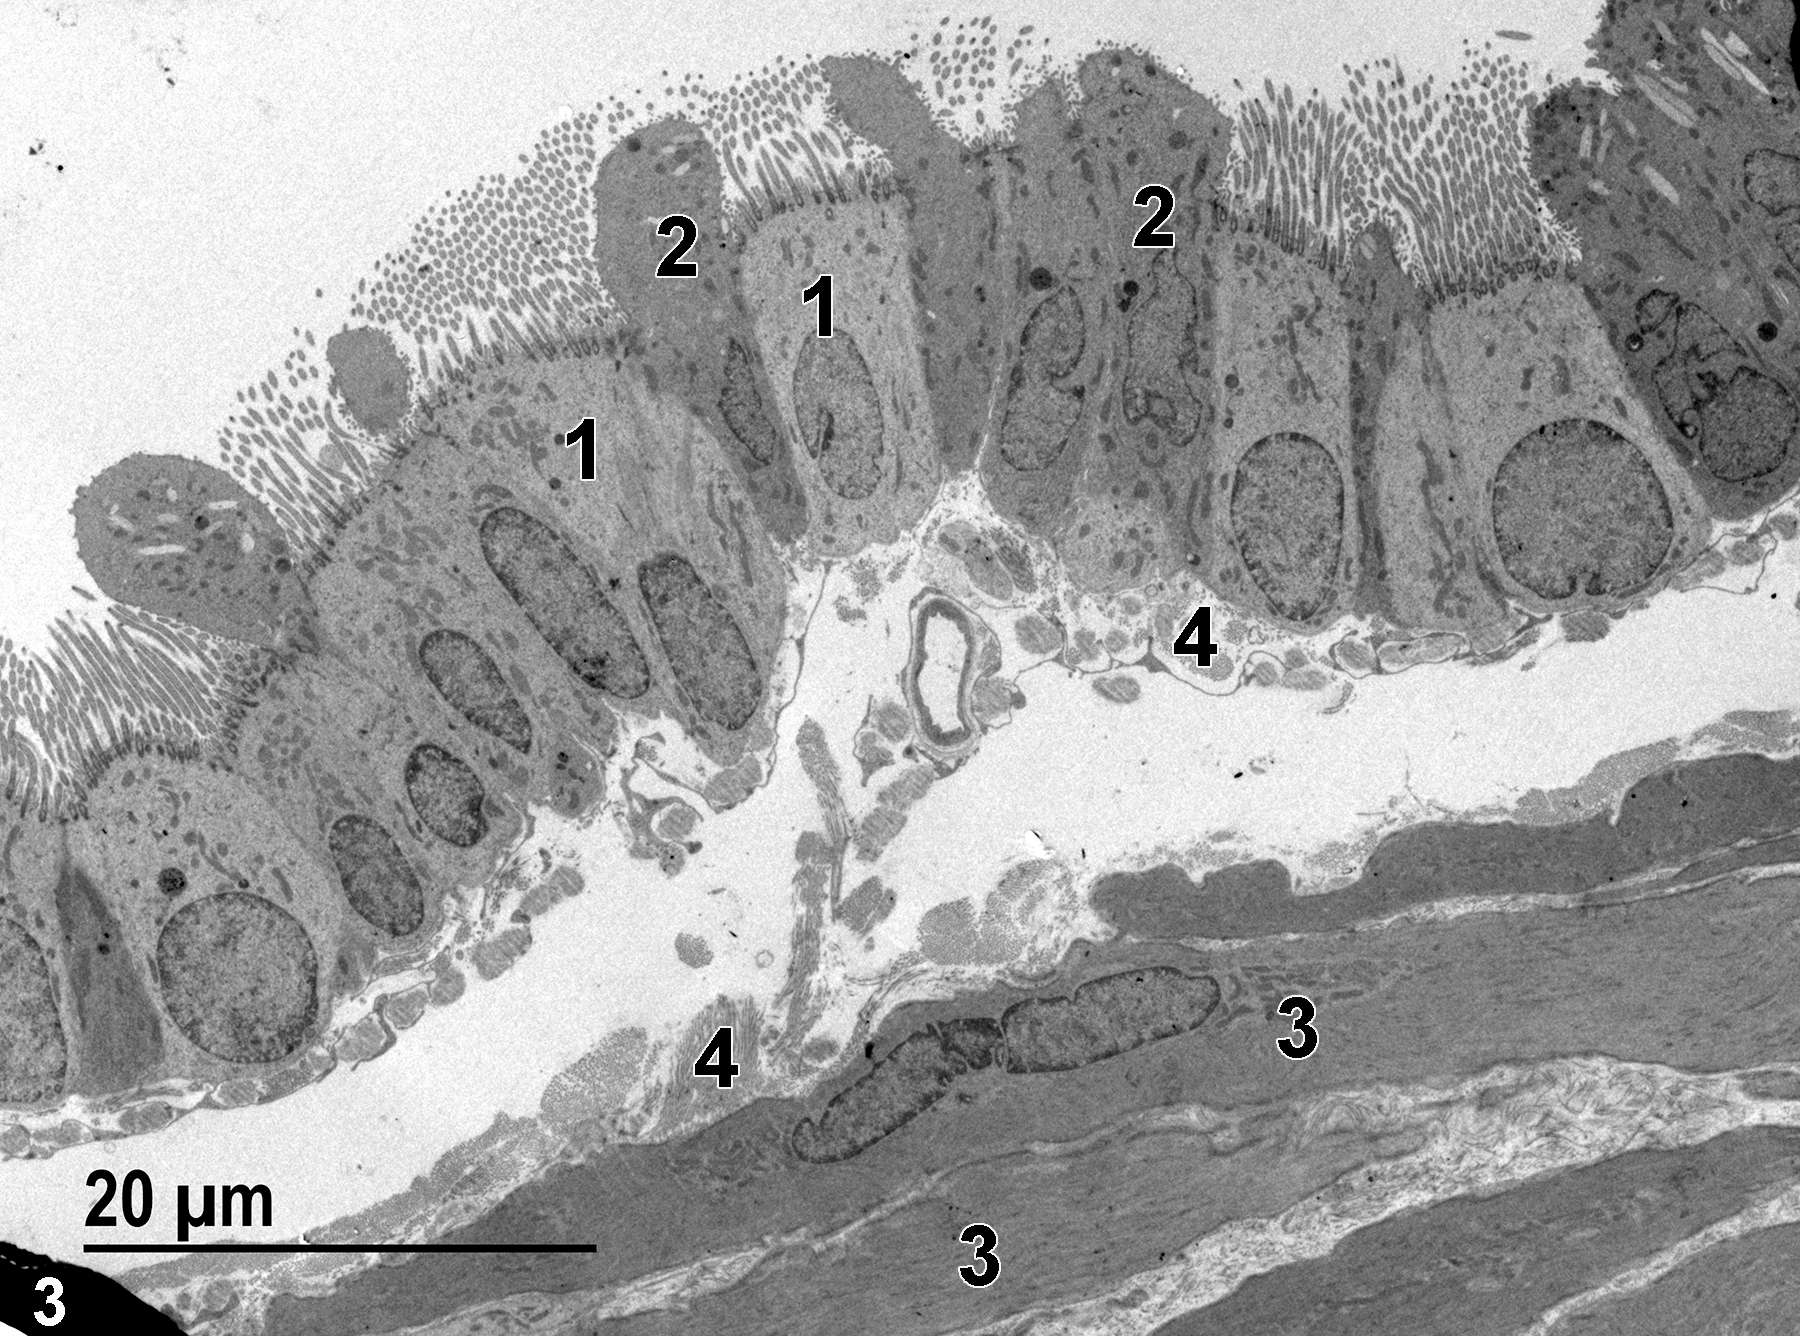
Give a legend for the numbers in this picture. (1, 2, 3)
1 - ciliated epithelial cells
2 - club cells
3 - smooth muscle cells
